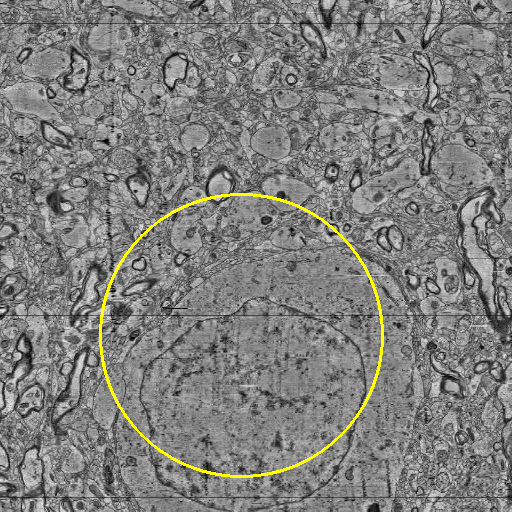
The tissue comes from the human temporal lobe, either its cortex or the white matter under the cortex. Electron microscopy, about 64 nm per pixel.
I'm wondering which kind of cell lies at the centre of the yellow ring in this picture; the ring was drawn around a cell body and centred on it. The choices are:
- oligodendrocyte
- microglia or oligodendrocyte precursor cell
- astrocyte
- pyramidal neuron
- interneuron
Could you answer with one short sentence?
At the centre of the ring lies a pyramidal neuron.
